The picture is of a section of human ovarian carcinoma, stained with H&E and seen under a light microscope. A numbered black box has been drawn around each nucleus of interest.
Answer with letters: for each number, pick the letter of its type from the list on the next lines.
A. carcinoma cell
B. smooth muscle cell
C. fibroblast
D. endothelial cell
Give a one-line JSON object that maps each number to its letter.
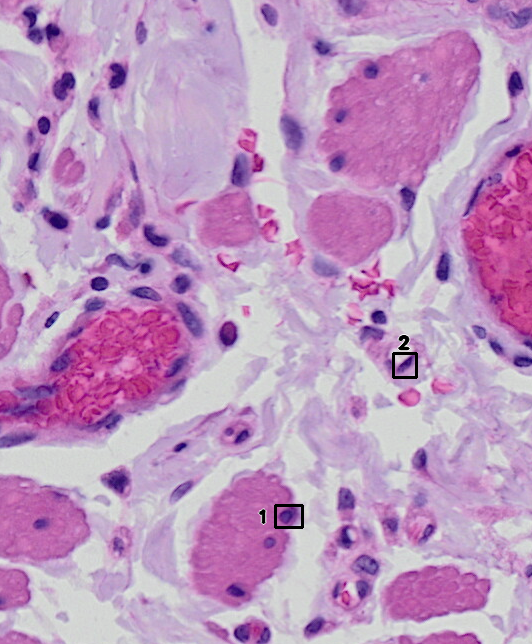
{"1": "B", "2": "D"}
